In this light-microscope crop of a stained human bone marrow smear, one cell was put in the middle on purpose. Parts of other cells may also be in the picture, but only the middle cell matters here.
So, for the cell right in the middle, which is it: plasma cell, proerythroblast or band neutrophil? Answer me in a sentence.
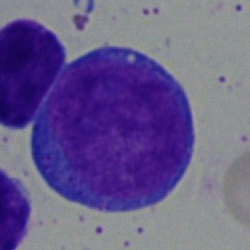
In the crop, the cell of interest at the centre is a proerythroblast.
